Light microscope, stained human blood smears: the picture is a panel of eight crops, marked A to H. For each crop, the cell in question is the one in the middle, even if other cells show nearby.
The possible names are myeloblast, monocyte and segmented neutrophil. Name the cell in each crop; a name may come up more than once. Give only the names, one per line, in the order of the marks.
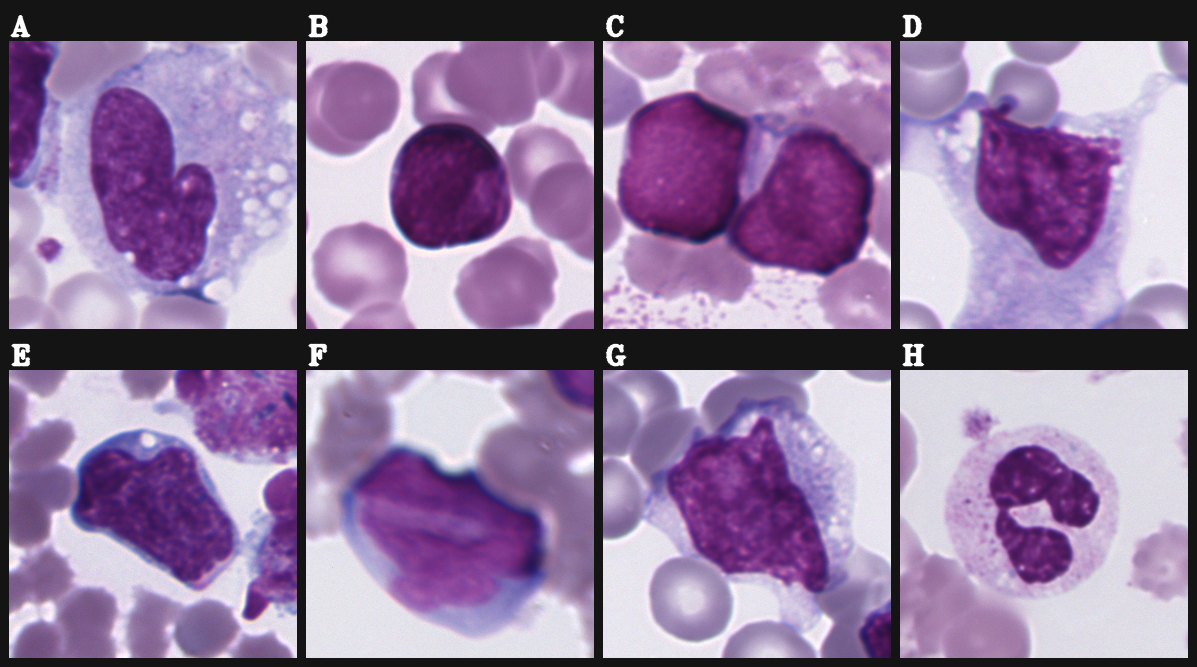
monocyte
myeloblast
myeloblast
monocyte
monocyte
myeloblast
monocyte
segmented neutrophil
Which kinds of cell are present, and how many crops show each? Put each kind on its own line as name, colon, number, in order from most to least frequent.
monocyte: 4
myeloblast: 3
segmented neutrophil: 1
